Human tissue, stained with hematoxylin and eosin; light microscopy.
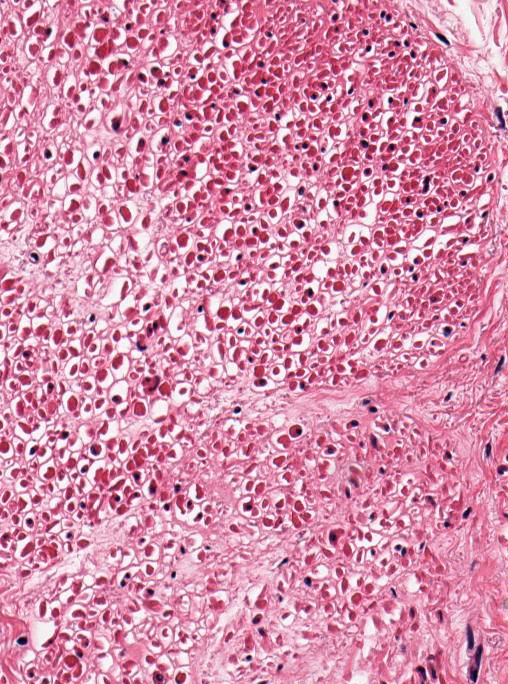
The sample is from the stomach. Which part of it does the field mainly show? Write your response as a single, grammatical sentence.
The human tissue part in this section is blood in a vessel or clot.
